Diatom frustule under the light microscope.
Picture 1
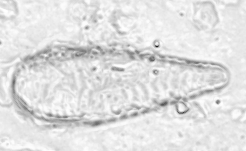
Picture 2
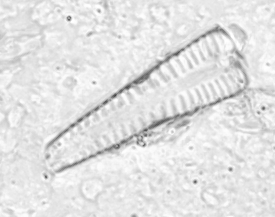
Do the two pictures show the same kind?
Yes, both are Gomphonella.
